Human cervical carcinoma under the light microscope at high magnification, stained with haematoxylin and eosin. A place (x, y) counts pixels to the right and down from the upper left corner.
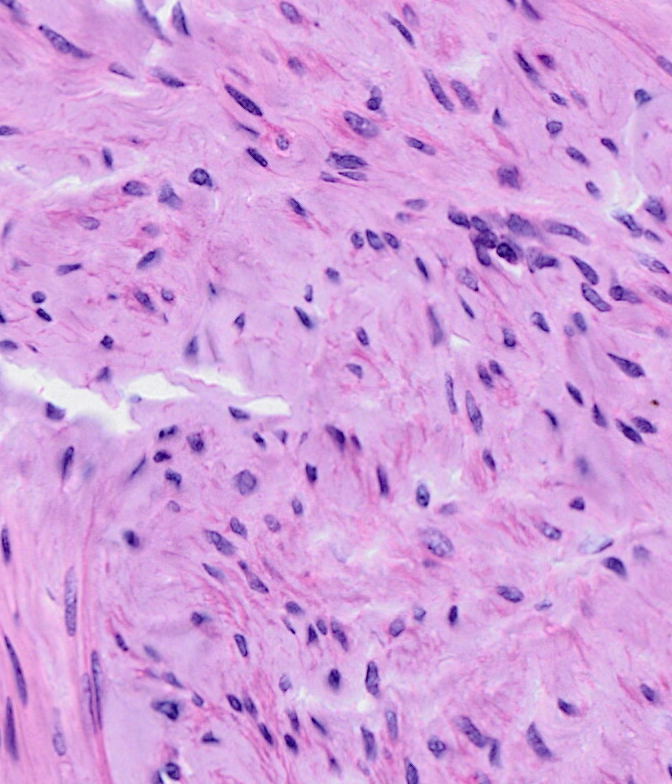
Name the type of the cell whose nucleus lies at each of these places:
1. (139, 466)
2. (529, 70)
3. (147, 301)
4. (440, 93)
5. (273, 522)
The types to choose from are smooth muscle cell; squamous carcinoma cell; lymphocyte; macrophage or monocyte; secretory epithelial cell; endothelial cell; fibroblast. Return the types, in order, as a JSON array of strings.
["fibroblast", "fibroblast", "smooth muscle cell", "smooth muscle cell", "smooth muscle cell"]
